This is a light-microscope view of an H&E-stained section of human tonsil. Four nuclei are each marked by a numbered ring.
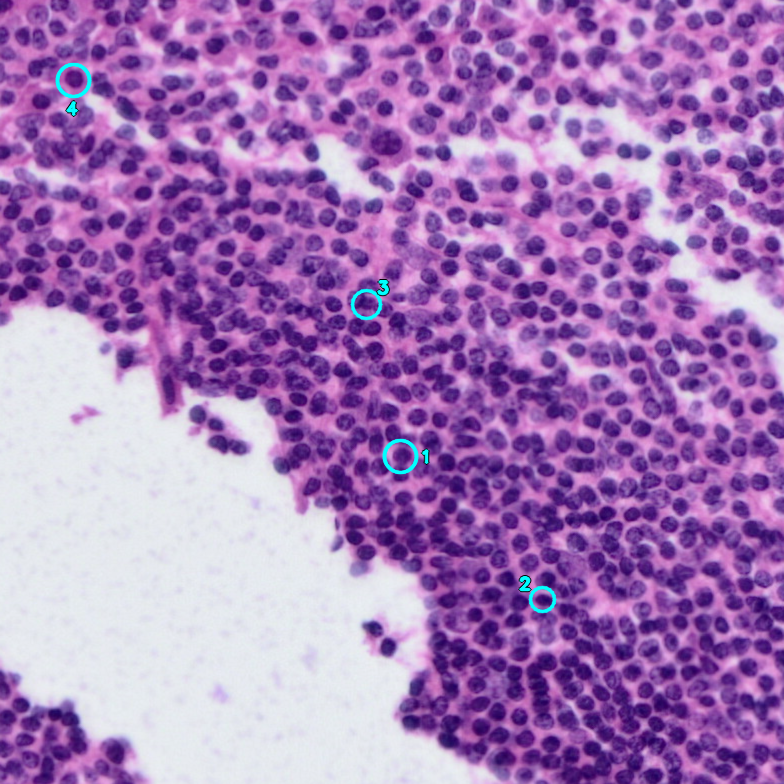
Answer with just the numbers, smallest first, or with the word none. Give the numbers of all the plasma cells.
4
